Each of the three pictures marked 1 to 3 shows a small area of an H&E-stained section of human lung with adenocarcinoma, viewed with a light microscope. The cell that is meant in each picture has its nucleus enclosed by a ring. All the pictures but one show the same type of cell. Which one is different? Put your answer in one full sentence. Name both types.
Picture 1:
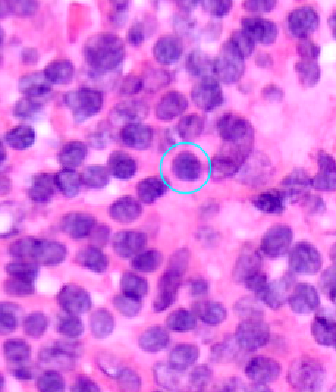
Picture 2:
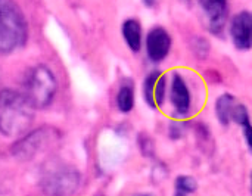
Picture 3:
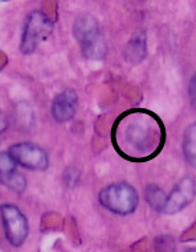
Unlike the rest, which show lymphocytes, picture 3 shows a “macrophage or monocyte”.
